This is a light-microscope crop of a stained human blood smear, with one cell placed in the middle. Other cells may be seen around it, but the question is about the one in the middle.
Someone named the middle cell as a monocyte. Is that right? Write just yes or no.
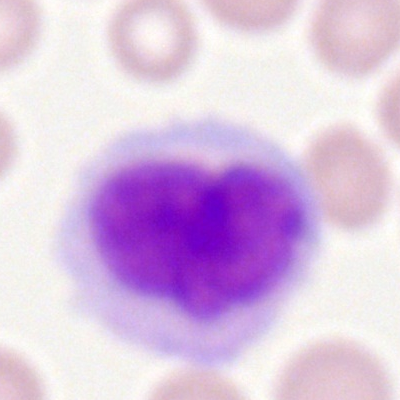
yes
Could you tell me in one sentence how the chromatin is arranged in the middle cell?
Chromatin texture is fine, and coarse clumps are absent.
